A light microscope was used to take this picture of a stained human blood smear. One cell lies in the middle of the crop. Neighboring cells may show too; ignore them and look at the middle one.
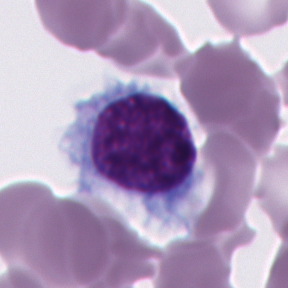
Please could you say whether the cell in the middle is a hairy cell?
yes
